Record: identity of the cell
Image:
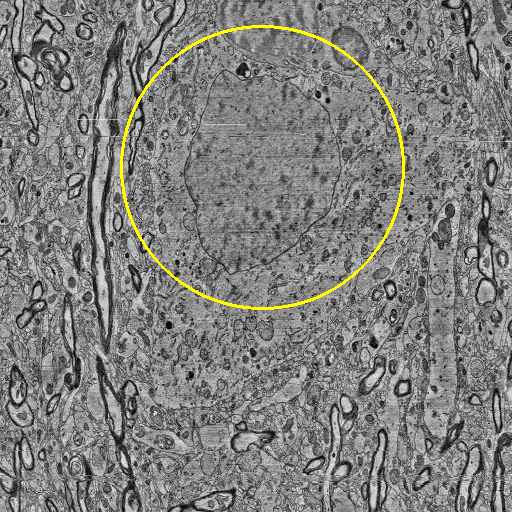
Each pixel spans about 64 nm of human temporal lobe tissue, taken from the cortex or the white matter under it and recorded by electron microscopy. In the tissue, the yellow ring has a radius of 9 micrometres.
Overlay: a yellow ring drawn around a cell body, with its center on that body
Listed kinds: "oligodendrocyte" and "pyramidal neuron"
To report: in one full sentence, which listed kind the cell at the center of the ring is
In the image, the cell body at the ring's center belongs to a pyramidal neuron.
